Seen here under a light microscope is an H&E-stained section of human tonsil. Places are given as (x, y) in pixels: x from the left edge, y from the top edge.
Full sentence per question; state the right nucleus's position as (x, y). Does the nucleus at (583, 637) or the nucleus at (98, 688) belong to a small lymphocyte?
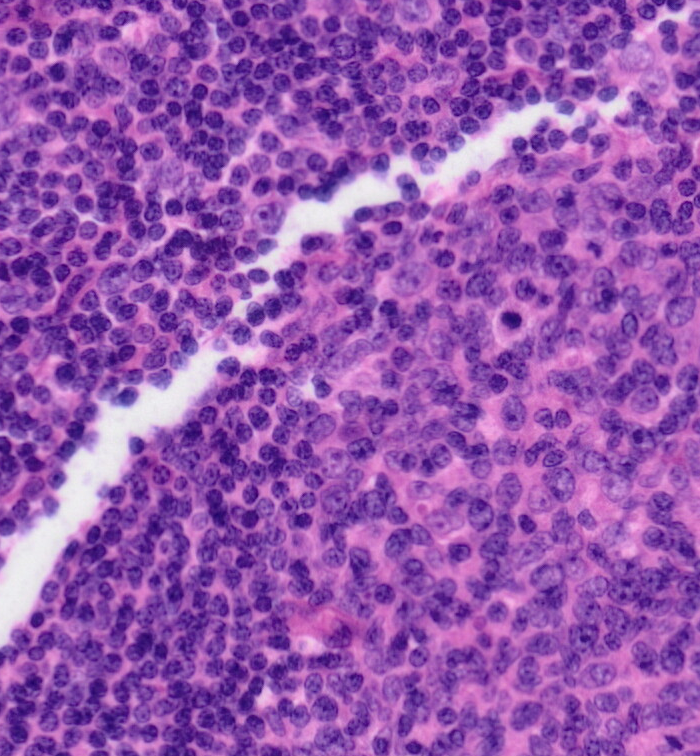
The nucleus contained in a small lymphocyte is the one at (98, 688).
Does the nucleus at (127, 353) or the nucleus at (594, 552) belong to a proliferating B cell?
Among the two nuclei, the one lying at (594, 552) is part of a proliferating B cell.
